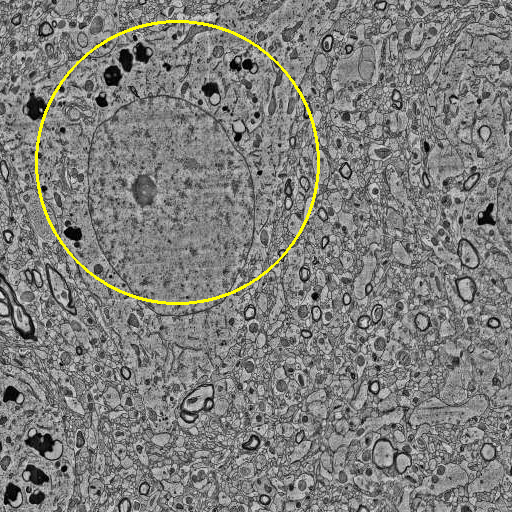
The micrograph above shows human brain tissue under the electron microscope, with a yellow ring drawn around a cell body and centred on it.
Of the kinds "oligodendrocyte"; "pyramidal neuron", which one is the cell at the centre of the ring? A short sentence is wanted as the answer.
The one at the centre of the ring is a pyramidal neuron.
